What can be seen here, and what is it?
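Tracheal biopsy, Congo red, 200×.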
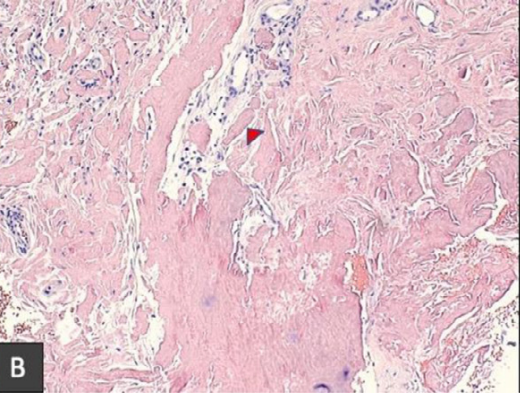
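Connective tissue of the airway wall is largely occupied by diffuse, orange-pink, homogeneous deposits. The deposits form broad sheets and irregular masses with a faintly fibrillar, cracked texture. Between them run strands of looser tissue with small blue nuclei and small vessels. Red blood cells are seen at the edge of the field. Few cells lie within the deposits themselves.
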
